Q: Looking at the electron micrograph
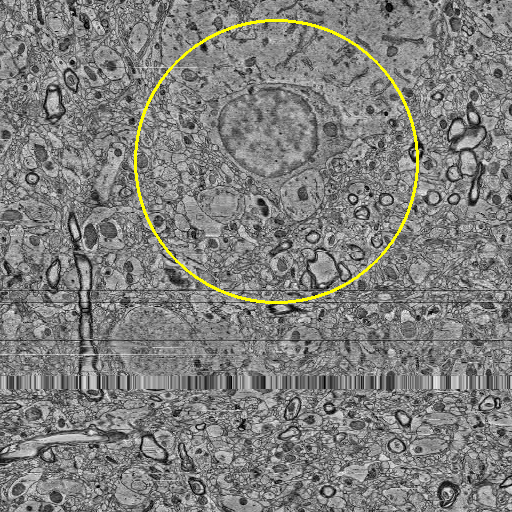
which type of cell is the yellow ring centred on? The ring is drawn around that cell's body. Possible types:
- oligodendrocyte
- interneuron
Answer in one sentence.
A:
The yellow ring is centred on an oligodendrocyte.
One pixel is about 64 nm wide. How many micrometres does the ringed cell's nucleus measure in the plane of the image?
The nucleus measures about 6 micrometers across in this plane.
